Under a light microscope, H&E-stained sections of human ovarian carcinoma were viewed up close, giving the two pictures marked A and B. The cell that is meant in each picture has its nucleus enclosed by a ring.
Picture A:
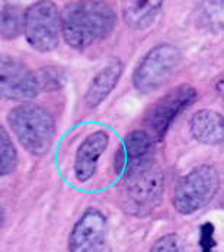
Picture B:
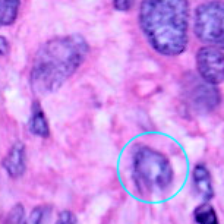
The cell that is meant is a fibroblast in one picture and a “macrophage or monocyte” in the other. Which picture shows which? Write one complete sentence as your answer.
In picture A the cell is a “macrophage or monocyte”; in picture B, a fibroblast.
